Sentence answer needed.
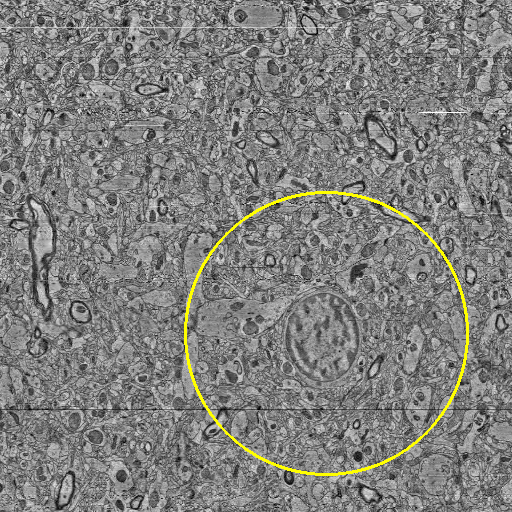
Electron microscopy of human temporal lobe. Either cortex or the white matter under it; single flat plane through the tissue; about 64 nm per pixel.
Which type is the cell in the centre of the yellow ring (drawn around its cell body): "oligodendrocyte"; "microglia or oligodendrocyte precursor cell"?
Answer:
In the centre of the yellow ring is an oligodendrocyte.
